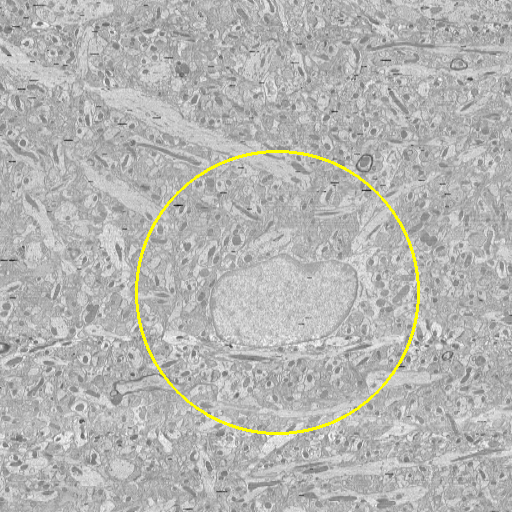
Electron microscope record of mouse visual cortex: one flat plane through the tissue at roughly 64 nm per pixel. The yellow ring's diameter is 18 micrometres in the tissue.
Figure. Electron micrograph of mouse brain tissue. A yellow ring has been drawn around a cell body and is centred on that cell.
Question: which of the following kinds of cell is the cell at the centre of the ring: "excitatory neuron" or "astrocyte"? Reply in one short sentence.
The cell at the centre of the ring is an astrocyte.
